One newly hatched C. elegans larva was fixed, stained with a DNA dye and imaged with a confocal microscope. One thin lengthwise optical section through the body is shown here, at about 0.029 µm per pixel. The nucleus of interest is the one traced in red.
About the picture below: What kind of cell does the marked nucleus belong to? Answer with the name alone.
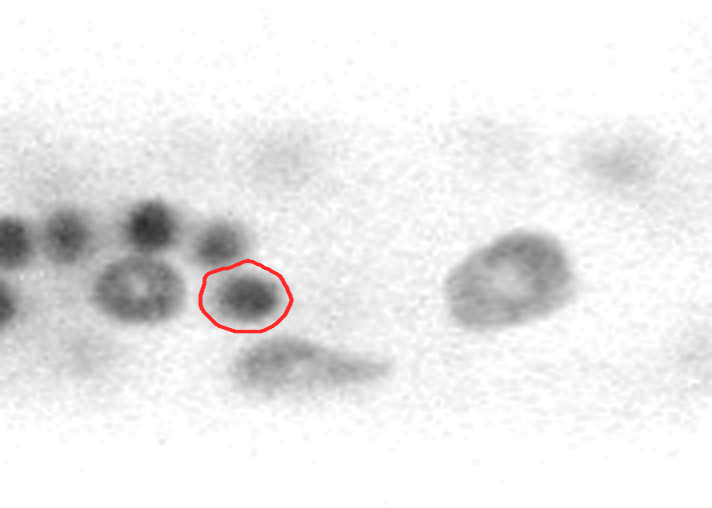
glial cell (sheath or socket)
